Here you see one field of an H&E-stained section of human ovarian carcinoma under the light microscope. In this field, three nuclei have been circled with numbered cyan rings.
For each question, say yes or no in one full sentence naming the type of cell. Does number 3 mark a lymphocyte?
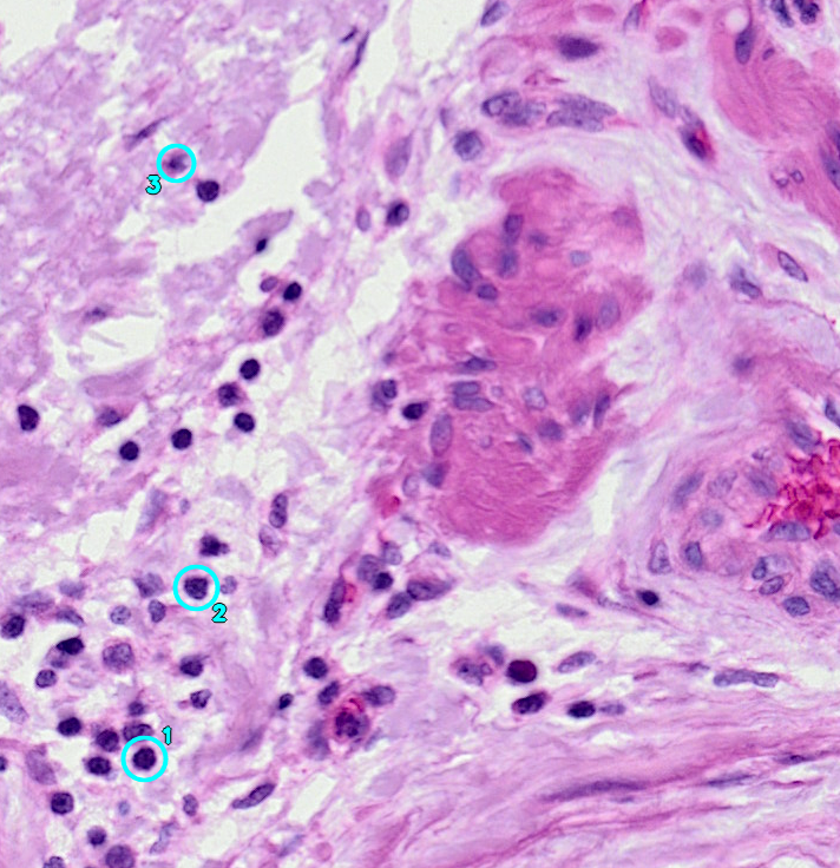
No, cell 3 represents a macrophage or monocyte rather than a lymphocyte.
